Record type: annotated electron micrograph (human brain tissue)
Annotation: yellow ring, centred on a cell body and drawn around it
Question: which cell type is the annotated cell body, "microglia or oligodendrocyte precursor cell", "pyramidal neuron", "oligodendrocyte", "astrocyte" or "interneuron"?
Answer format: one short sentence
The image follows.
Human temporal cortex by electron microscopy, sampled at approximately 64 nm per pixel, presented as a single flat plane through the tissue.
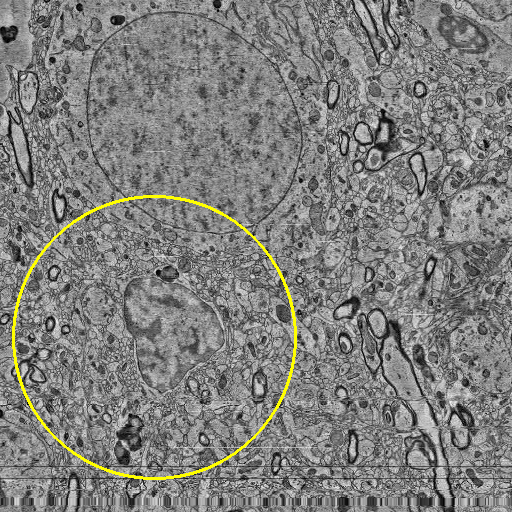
The annotated cell body is that of a microglial cell or oligodendrocyte precursor cell.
